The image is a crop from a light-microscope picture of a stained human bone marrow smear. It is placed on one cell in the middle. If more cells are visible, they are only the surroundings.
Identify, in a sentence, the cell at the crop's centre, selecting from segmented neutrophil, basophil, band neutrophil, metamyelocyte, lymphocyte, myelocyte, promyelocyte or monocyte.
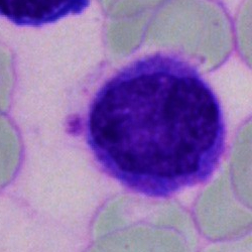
At the crop's centre, the cell is a monocyte.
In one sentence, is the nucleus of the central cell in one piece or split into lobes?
Have a look at the nucleus, which is one compact mass, round, oval or kidney-shaped.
